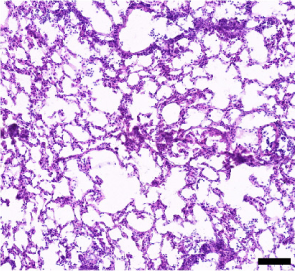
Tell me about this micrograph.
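This is a section of lung showing the alveolar parenchyma. Thin alveolar septa form a fine, branching network around many rounded, open air spaces of varying size. The septa carry numerous small, dark purple nuclei that are densely packed along the walls, with pink cytoplasm and matrix in between. Some areas look more compact, where septa and nuclei crowd together, while others are more open. The overall pattern is a sponge-like mesh of cellular walls surrounding empty airspaces, typical of lung tissue at this magnification.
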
